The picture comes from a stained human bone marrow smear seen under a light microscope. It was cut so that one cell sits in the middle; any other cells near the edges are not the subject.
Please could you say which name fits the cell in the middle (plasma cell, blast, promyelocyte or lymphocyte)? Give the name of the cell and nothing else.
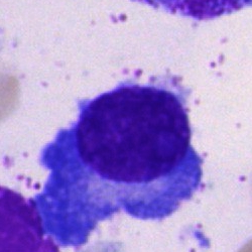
plasma cell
